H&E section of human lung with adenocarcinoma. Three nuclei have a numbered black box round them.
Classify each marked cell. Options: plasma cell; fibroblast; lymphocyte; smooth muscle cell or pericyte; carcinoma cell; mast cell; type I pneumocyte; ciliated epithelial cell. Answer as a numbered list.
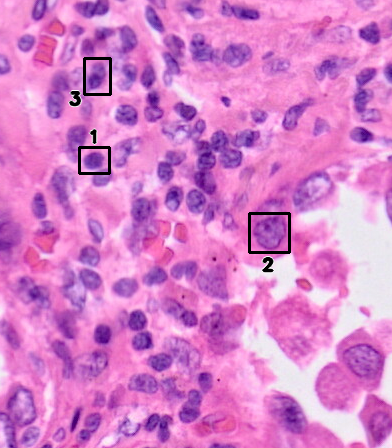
1. lymphocyte
2. carcinoma cell
3. lymphocyte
